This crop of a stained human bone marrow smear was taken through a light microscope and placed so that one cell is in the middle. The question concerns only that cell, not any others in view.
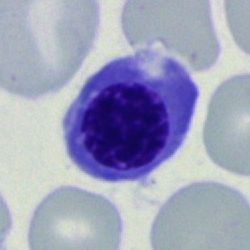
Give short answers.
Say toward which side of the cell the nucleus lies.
lower left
